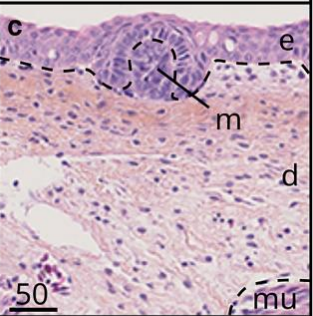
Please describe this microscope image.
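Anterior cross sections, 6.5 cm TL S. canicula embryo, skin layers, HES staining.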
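The epidermis is several cells thick, with rounded cells and pale cytoplasm, some large clear cells near the surface. At its base a rounded cluster of tightly packed cells with dark purple nuclei bulges upward into the epidermis: the mesenchyme of a forming scale. Below the dashed boundary, the dermis is loose pink fibrous tissue with scattered spindle-shaped nuclei and a thin-walled vessel. Deeper, at the bottom right, the edge of muscle is set off by another dashed line.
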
